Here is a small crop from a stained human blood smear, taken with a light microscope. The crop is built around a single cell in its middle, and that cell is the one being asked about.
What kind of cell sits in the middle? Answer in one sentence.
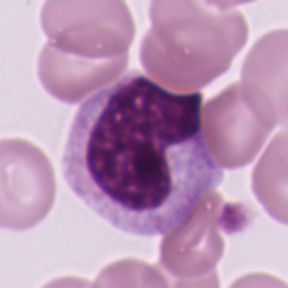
The cell at the central position in this crop is a band neutrophil.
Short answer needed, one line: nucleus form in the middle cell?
The nuclear material is gathered into one compact round, oval or kidney-shaped mass.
